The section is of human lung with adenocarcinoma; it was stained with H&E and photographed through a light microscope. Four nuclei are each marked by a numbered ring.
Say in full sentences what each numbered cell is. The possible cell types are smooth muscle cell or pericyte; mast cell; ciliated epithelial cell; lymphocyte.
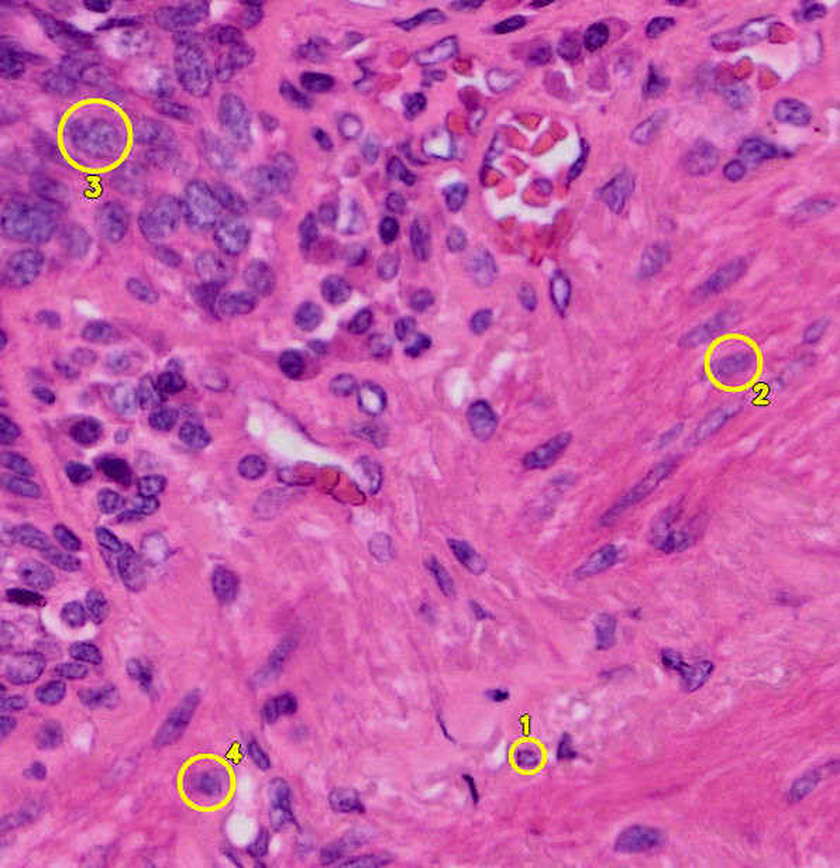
Cell 1 is a mast cell, cell 2 is a smooth muscle cell or pericyte, cell 3 is a ciliated epithelial cell and cell 4 is a smooth muscle cell or pericyte.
